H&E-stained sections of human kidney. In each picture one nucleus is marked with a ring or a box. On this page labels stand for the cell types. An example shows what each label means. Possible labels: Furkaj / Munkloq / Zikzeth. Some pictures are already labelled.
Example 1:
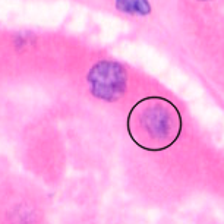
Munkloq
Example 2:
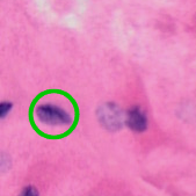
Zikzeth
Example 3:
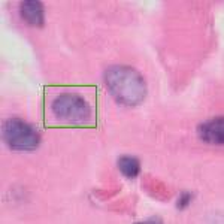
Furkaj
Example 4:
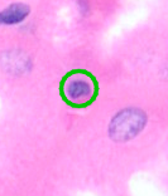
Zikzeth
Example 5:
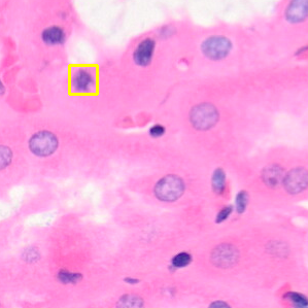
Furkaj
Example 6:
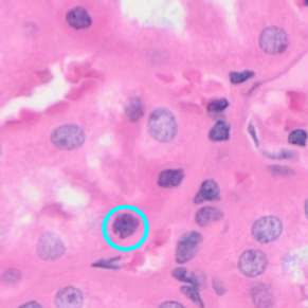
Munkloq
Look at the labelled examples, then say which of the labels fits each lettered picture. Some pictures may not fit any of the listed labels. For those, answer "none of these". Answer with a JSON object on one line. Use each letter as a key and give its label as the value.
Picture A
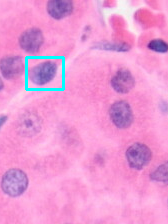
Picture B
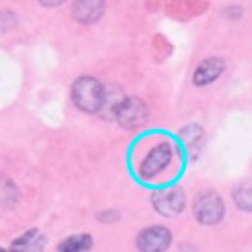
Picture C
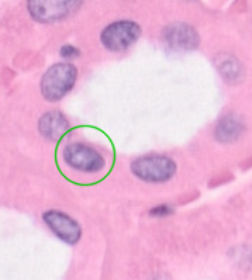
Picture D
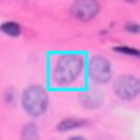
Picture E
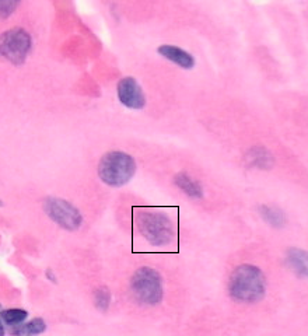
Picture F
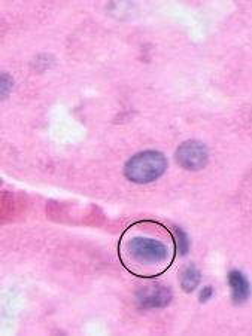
{"A": "Zikzeth", "B": "none of these", "C": "Furkaj", "D": "none of these", "E": "Munkloq", "F": "Zikzeth"}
